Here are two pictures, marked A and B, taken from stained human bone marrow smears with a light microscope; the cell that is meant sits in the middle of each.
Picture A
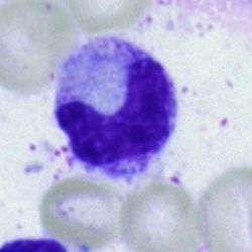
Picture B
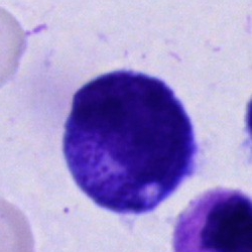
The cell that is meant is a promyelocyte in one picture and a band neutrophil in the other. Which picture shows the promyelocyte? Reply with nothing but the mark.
B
